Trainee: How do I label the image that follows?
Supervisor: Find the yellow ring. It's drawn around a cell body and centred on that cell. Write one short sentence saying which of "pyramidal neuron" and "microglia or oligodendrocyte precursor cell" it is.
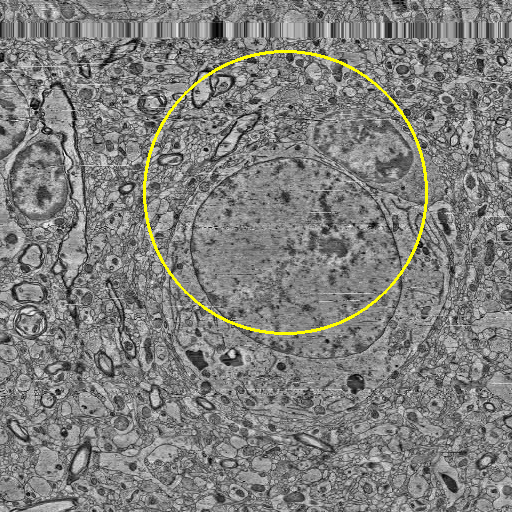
This is the cell body of a pyramidal neuron.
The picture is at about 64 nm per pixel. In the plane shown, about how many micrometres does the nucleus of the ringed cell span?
Approximately 14 by 12 micrometers in this plane.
